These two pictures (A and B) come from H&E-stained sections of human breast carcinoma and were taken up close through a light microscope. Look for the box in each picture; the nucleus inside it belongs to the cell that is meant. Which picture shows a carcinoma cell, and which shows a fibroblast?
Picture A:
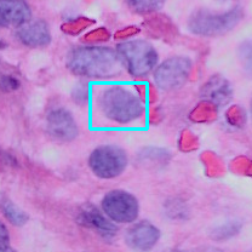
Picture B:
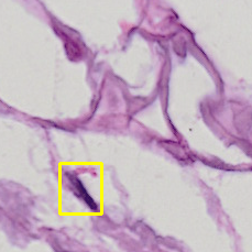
A: carcinoma cell
B: fibroblast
